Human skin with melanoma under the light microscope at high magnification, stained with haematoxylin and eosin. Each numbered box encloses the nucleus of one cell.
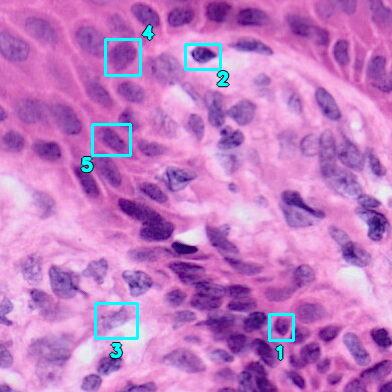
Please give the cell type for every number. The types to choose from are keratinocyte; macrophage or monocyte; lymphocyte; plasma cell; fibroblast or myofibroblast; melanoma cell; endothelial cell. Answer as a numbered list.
1. keratinocyte
2. lymphocyte
3. fibroblast or myofibroblast
4. keratinocyte
5. keratinocyte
